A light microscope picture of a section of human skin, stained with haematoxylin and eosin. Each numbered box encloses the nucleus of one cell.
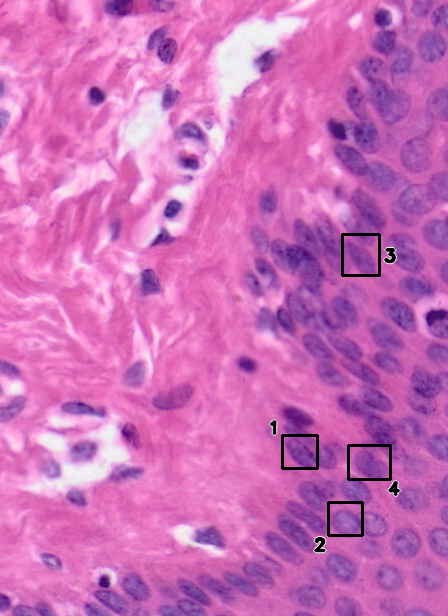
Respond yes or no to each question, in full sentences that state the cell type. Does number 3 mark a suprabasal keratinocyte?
No, the marker 3 sits on a basal keratinocyte, not on a suprabasal keratinocyte.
